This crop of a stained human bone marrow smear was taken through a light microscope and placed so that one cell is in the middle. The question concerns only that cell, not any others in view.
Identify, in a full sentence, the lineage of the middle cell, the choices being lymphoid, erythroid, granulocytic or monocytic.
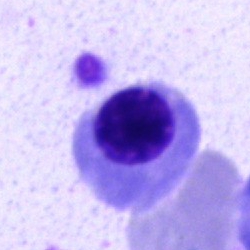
It is to the erythroid lineage that the middle cell belongs.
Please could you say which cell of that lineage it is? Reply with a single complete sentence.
Here the cell in the middle is an erythroblast.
